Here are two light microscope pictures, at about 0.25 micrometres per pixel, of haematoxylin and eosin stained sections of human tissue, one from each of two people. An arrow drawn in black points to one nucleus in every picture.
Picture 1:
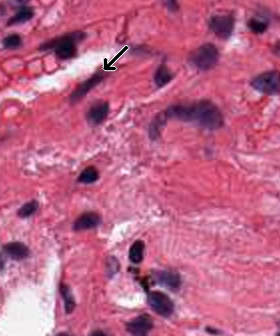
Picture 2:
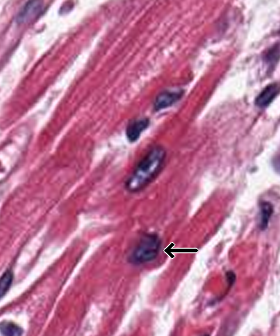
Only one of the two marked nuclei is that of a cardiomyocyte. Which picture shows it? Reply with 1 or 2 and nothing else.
2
